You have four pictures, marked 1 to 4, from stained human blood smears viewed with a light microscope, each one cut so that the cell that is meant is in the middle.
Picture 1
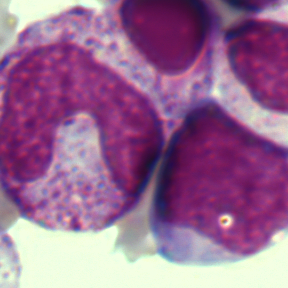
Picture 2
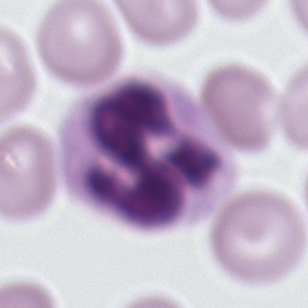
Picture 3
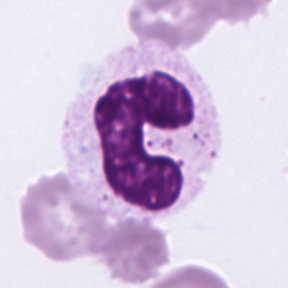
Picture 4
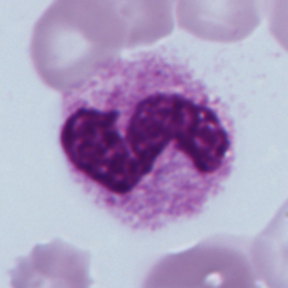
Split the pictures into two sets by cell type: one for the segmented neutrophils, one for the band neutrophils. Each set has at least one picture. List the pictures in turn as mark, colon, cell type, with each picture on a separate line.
1: band neutrophil
2: segmented neutrophil
3: band neutrophil
4: segmented neutrophil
